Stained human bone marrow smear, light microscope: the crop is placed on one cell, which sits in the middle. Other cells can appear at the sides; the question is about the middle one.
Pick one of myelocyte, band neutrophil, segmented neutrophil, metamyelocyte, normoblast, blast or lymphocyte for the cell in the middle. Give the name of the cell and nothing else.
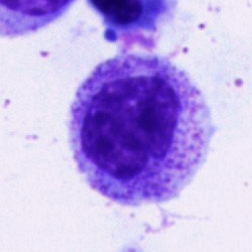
myelocyte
